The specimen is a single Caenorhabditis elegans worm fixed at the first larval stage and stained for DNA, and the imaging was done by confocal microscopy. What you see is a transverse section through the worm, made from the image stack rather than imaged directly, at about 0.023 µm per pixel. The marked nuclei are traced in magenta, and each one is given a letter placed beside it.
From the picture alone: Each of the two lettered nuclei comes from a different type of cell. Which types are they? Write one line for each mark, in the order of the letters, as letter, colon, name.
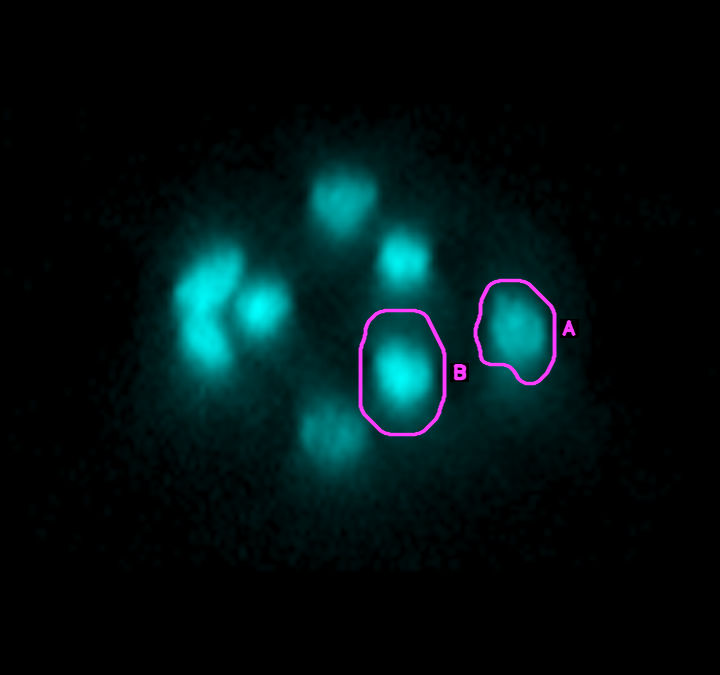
A: arcade cell
B: pharyngeal muscle cell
